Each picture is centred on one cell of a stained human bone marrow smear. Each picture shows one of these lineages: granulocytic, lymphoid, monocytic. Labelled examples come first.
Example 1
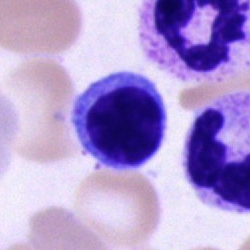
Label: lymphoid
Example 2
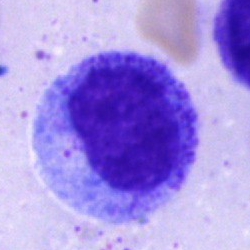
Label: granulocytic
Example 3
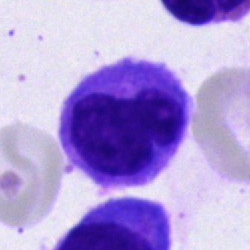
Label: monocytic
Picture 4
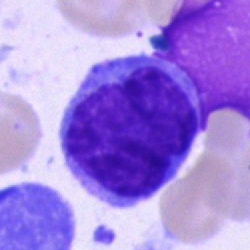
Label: monocytic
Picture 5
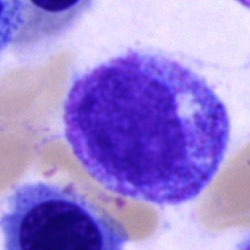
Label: granulocytic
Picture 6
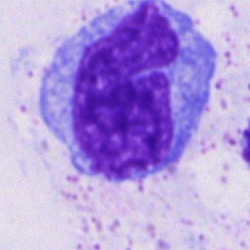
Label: monocytic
